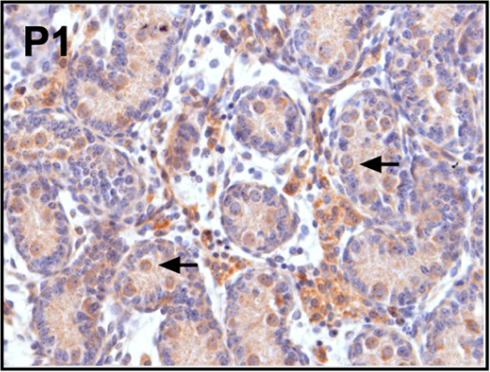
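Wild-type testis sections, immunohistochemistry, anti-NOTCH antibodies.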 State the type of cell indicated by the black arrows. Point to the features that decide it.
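Arrows point to large rounded cells inside the cords. The cords are small and solid, without an open lumen.
Hence: pre-spermatogonial cells.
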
